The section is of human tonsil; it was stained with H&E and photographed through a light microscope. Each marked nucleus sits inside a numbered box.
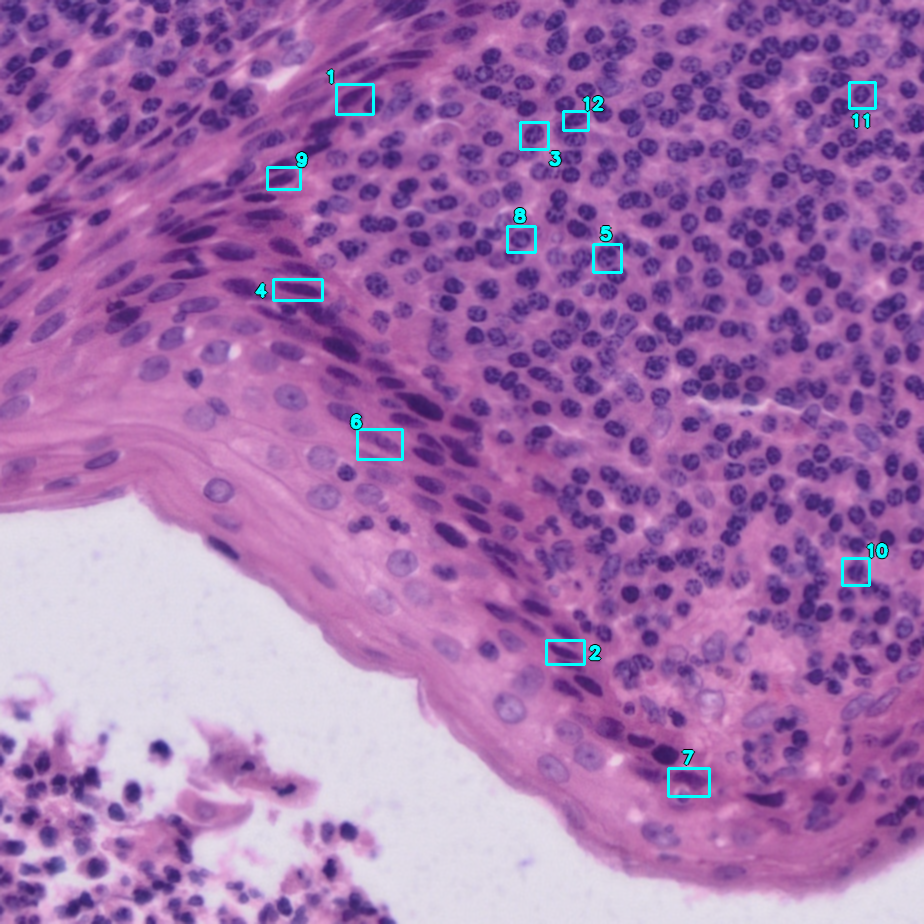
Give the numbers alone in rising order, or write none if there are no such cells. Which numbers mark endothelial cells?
none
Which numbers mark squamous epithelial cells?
1, 2, 4, 6, 7, 9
